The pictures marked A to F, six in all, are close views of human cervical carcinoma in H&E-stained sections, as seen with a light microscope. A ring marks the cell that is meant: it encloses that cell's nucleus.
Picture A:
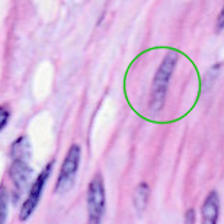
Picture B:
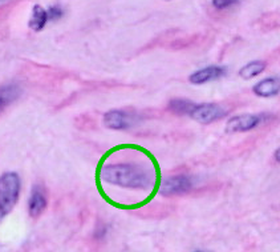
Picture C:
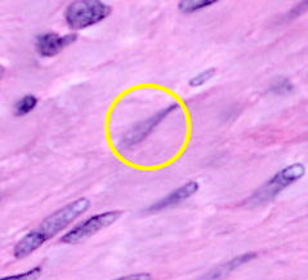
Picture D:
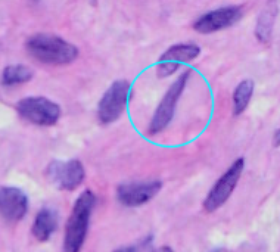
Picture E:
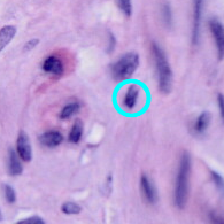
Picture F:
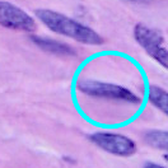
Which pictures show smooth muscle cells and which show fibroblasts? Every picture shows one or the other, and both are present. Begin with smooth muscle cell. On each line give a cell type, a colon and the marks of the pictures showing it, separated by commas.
smooth muscle cell: A, B
fibroblast: C, D, E, F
